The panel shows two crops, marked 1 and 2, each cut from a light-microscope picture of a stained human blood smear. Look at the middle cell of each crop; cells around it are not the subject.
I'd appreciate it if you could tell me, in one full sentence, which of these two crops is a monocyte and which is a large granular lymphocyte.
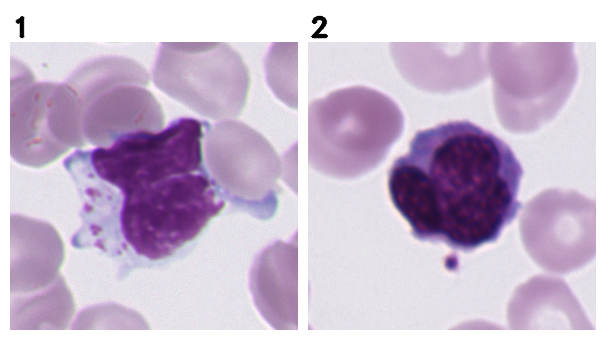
Crop 1 is a large granular lymphocyte, and, separately, crop 2 is a monocyte.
